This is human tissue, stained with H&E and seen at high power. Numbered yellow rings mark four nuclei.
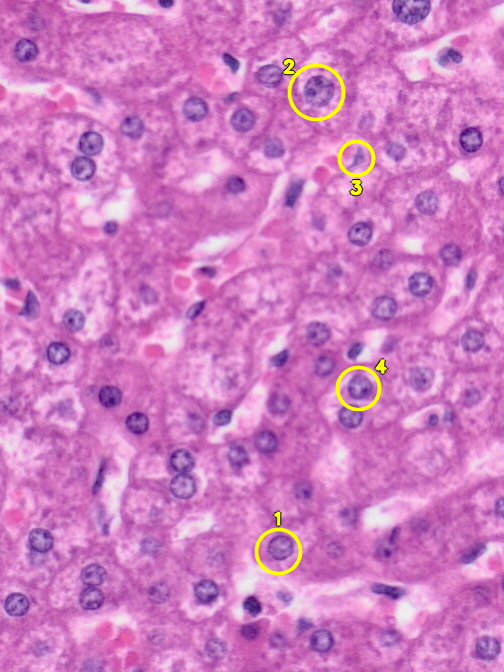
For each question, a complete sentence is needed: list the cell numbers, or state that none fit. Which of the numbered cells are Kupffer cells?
None of the numbered cells qualify as Kupffer cells.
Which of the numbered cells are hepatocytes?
The cells tagged with numbers 1, 2 and 4 are hepatocytes.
